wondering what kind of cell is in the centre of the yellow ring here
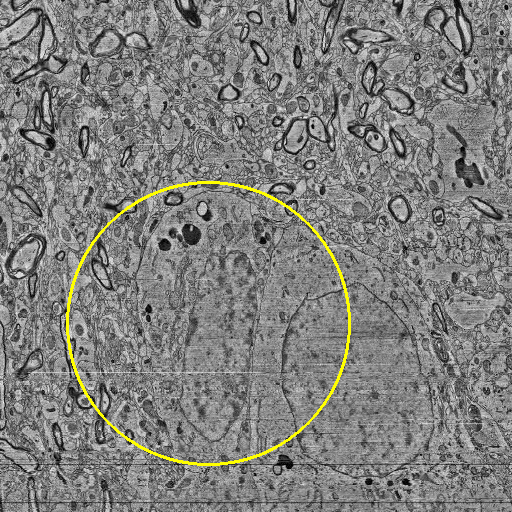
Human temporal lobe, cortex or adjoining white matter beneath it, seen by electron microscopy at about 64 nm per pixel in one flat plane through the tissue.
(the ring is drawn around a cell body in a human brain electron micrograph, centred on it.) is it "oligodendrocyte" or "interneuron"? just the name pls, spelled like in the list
interneuron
